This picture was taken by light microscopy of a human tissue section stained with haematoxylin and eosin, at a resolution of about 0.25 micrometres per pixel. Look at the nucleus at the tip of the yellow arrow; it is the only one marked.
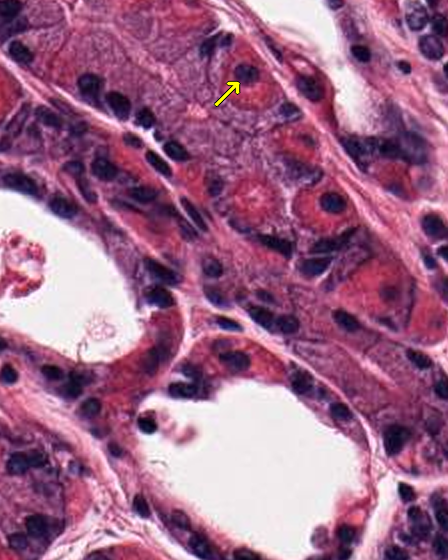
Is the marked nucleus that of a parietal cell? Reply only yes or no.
yes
